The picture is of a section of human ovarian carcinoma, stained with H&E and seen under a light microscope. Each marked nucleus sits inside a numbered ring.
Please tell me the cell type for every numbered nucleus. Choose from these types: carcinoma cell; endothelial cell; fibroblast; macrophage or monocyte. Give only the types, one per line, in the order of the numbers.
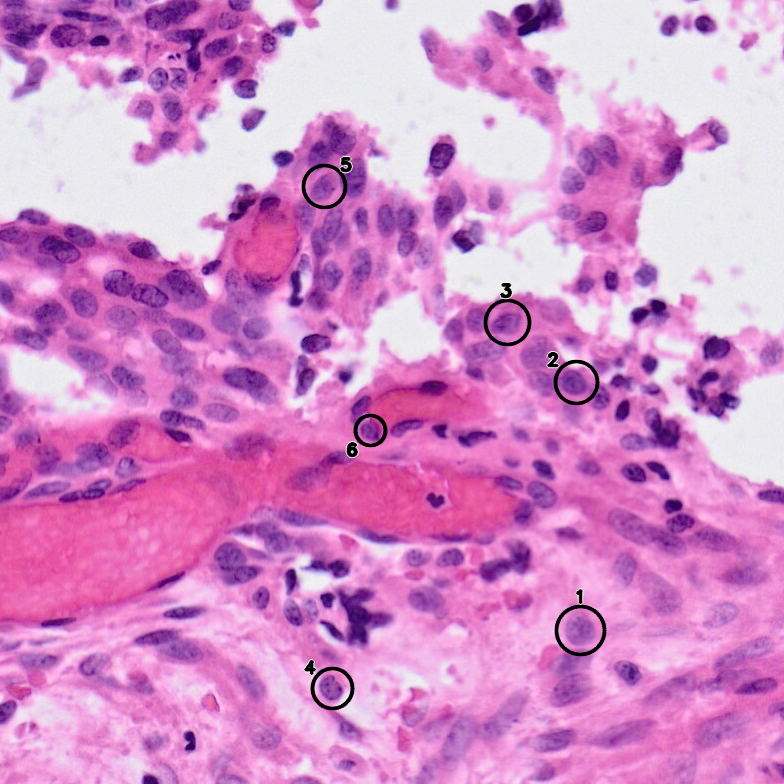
fibroblast
carcinoma cell
carcinoma cell
macrophage or monocyte
carcinoma cell
endothelial cell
